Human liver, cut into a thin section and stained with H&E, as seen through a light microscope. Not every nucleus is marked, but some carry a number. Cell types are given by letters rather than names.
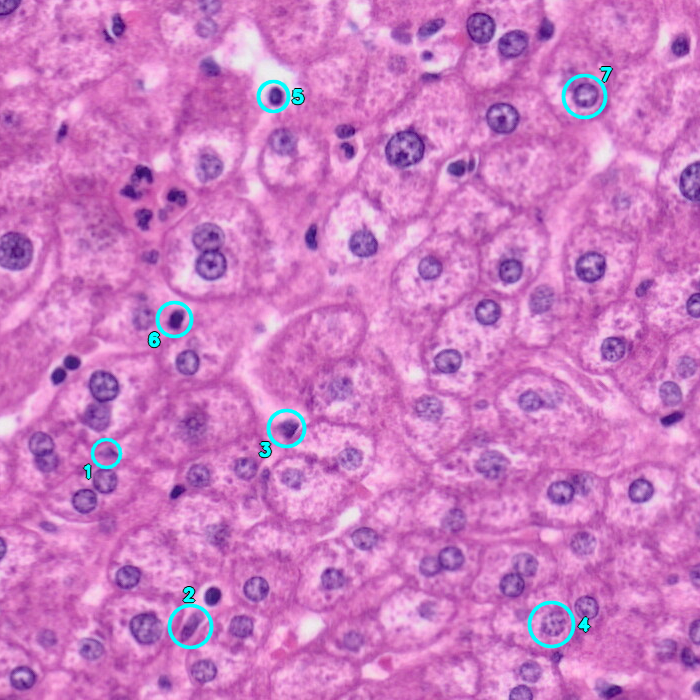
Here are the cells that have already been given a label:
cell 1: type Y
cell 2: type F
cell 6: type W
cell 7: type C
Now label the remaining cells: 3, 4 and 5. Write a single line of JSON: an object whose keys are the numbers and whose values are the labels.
{"3": "type Y", "4": "type C", "5": "type W"}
